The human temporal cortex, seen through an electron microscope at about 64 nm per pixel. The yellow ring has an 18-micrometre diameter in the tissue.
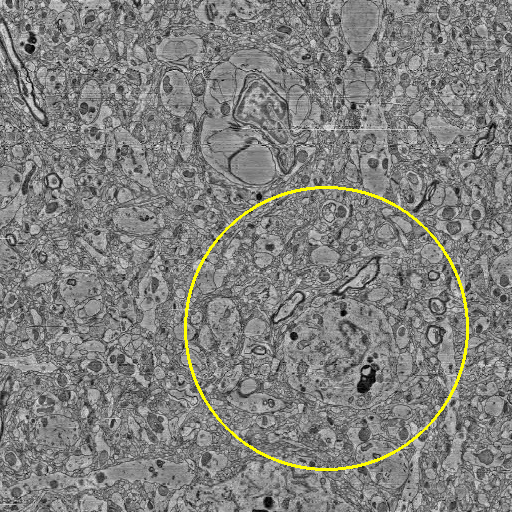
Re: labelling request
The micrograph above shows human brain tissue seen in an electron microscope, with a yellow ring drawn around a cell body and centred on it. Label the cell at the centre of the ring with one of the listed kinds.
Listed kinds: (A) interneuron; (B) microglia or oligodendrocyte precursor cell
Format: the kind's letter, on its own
A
